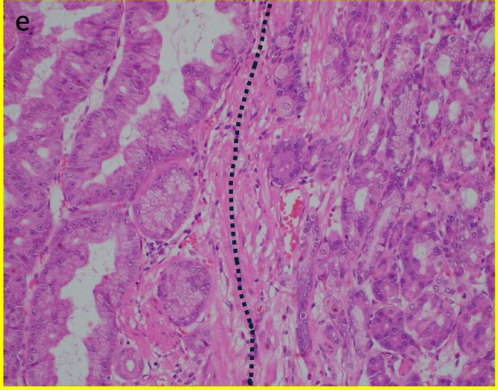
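A black dashed line runs vertically through the field and separates two different glandular tissues. To the left lies adenocarcinoma, with glands lined by tall columnar cells that have crowded, enlarged nuclei and purple cytoplasm. To the right lie small, tightly packed glands made of cells with rounded nuclei and pink to purple granular cytoplasm. Along the line runs a narrow band of pink fibrous stroma containing a small vessel with red blood cells.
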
